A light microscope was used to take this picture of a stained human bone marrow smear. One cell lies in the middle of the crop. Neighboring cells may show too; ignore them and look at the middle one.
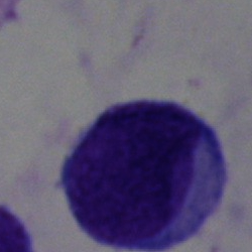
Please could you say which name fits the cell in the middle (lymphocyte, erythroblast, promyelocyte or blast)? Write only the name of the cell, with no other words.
blast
